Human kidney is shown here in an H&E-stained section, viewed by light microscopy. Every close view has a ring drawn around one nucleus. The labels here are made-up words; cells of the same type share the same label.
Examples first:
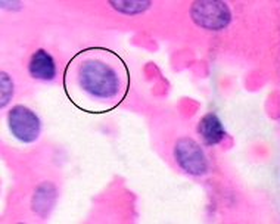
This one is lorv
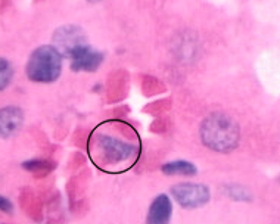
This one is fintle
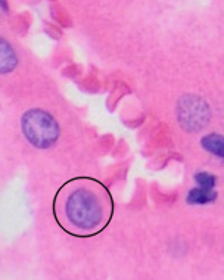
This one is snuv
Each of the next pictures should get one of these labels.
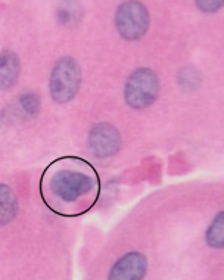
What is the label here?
fintle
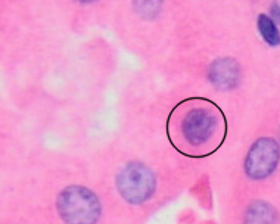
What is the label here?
snuv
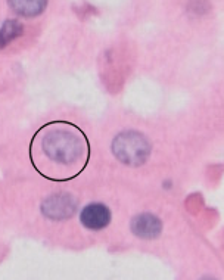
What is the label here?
snuv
